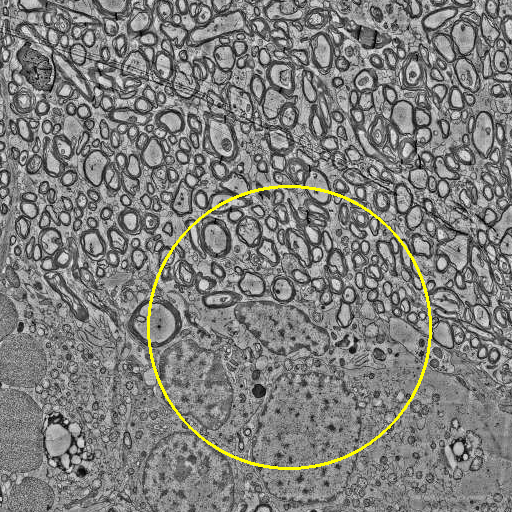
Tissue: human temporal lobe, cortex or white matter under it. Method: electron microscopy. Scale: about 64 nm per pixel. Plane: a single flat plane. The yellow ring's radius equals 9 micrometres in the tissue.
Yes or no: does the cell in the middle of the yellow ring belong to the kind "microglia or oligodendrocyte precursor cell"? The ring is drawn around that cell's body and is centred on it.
yes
